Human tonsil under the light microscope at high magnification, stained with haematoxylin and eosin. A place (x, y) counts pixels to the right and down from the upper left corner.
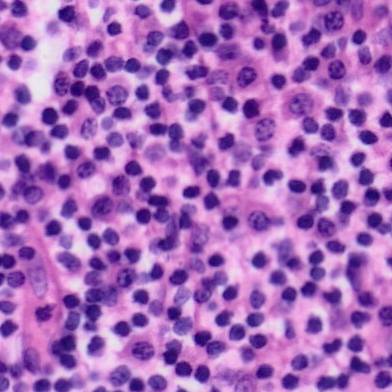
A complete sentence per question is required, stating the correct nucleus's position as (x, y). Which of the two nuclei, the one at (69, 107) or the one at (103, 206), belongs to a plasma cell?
The nucleus of a plasma cell is the one found at (103, 206), not the other.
